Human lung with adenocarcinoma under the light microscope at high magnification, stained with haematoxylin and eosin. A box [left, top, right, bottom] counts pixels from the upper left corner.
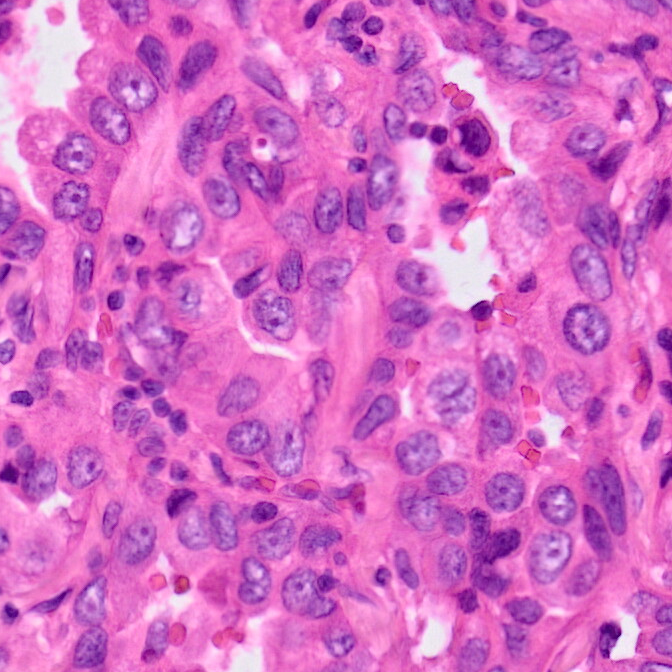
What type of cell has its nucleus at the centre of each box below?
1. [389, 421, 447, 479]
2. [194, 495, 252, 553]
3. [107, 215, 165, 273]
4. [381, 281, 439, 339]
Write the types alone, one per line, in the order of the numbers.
carcinoma cell
carcinoma cell
lymphocyte
carcinoma cell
